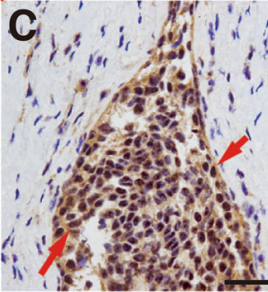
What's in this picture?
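The tumor cells are crowded together, and their round to oval nuclei are stained a strong brown, so that the nuclei stand out darker than the surrounding cytoplasm. The cell nest has a tapering outline and is bordered by loose connective tissue. In the stroma, scattered spindle-shaped cells with slender blue nuclei run between pale fibers. The contrast between the brown tumor nuclei and the blue stromal nuclei is marked.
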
